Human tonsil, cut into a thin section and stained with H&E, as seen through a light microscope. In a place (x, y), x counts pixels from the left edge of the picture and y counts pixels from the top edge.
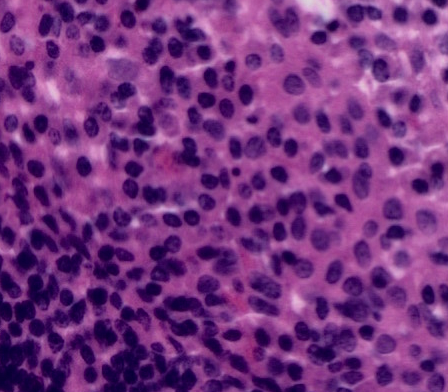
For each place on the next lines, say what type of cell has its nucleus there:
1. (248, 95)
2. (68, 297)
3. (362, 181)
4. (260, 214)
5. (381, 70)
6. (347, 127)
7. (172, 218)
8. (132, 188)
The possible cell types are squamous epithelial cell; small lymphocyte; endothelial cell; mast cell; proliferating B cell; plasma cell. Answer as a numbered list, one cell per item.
1. plasma cell
2. small lymphocyte
3. squamous epithelial cell
4. plasma cell
5. plasma cell
6. squamous epithelial cell
7. plasma cell
8. plasma cell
